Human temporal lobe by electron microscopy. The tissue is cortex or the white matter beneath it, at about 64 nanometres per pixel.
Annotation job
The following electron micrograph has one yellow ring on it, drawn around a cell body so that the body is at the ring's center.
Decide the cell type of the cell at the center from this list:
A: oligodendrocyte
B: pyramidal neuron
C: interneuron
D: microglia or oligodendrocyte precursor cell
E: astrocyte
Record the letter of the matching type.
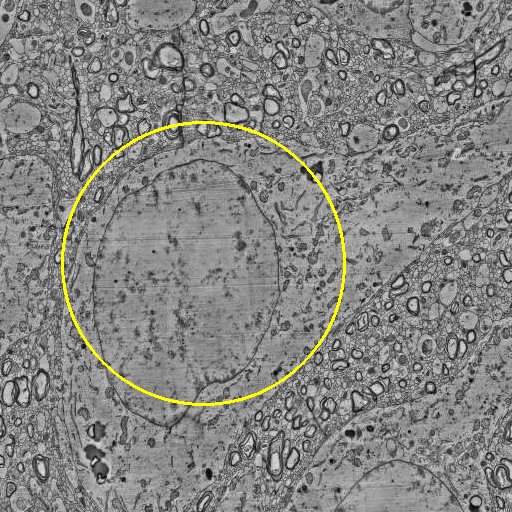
B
